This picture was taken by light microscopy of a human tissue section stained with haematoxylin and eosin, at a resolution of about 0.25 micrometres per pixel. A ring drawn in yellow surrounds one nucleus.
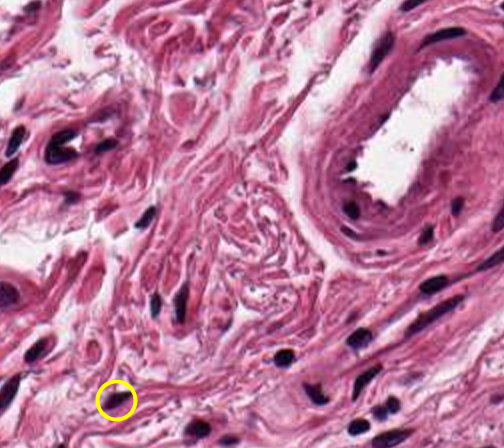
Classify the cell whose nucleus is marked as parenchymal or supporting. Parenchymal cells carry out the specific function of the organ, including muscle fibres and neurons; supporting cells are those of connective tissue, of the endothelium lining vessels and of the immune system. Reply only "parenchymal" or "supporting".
supporting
